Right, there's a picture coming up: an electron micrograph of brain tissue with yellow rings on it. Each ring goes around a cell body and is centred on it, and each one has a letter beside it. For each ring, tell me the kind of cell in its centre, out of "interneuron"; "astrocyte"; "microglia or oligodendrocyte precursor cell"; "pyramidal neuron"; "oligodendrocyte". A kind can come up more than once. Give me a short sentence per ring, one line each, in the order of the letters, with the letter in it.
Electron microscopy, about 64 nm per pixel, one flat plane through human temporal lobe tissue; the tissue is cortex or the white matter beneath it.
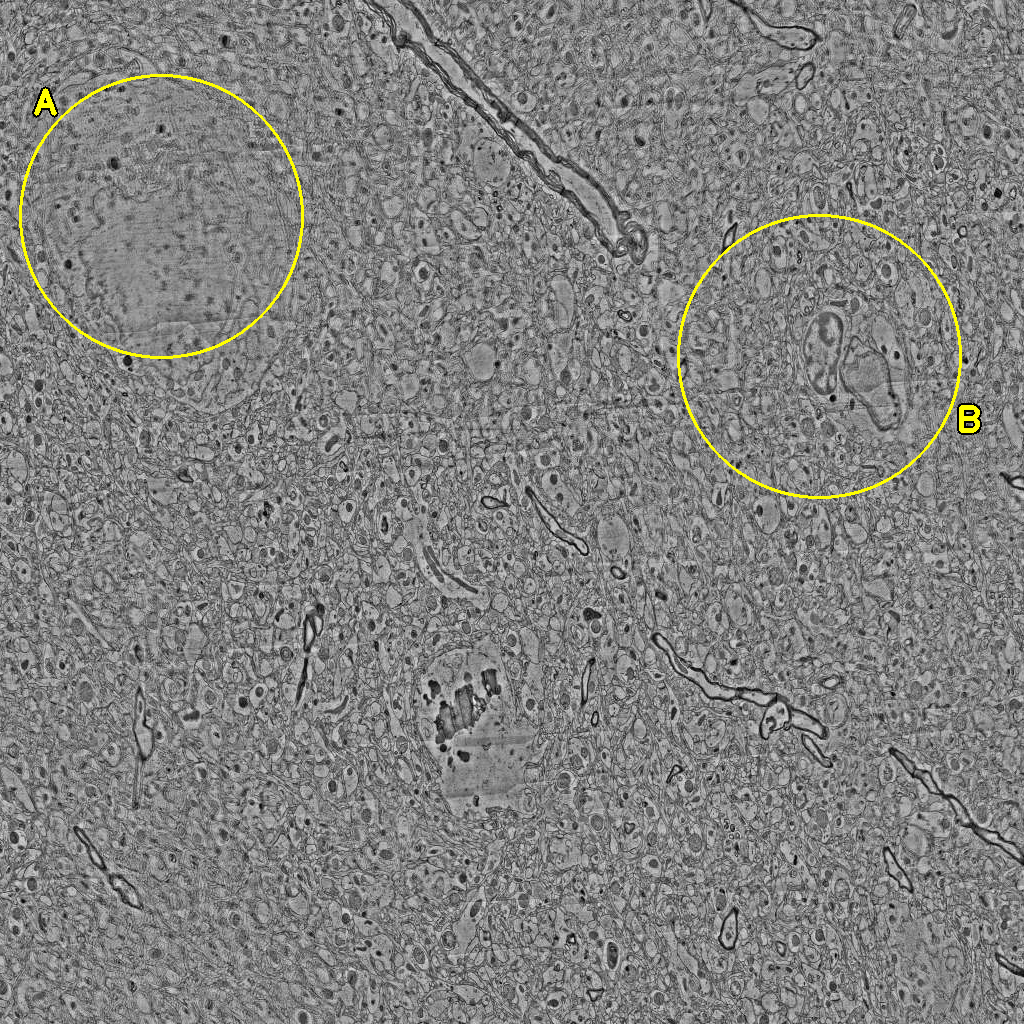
That's an interneuron in ring A.
That's a microglial cell or oligodendrocyte precursor cell in ring B.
